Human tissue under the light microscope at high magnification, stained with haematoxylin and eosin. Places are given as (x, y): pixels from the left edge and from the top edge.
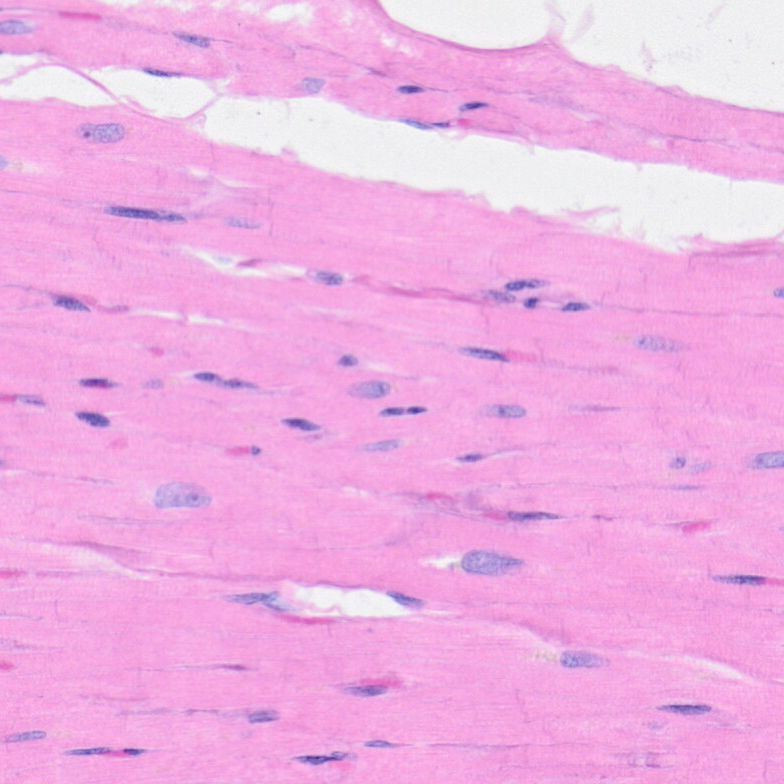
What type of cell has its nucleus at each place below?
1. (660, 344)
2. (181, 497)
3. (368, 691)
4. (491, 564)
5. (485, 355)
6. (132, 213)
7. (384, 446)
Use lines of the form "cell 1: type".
cell 1: cardiomyocyte
cell 2: cardiomyocyte
cell 3: endothelial cell
cell 4: cardiomyocyte
cell 5: endothelial cell
cell 6: endothelial cell
cell 7: cardiomyocyte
